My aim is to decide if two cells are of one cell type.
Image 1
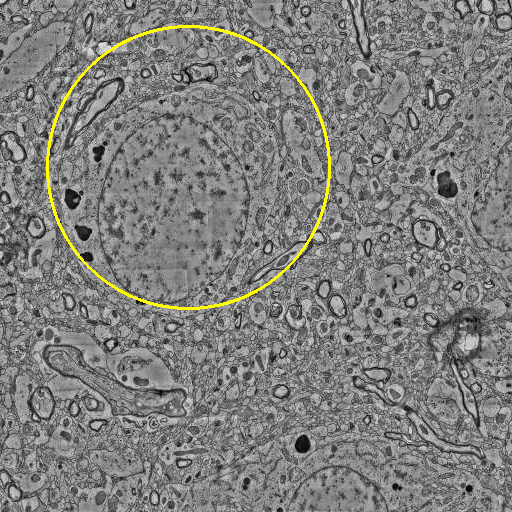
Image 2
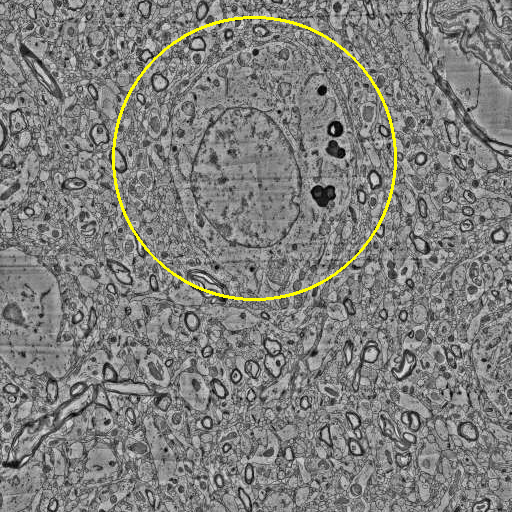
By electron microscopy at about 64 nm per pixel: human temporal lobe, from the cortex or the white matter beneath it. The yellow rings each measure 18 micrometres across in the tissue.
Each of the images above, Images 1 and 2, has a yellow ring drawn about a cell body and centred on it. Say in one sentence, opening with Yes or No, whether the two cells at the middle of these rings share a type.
Yes, in Images 1 and 2 the cells at the middle of the rings share one type.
